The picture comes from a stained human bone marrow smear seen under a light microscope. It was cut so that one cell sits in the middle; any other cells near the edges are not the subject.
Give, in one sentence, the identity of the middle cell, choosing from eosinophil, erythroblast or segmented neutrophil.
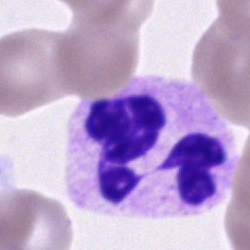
What sits at the centre of this crop is a segmented neutrophil.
